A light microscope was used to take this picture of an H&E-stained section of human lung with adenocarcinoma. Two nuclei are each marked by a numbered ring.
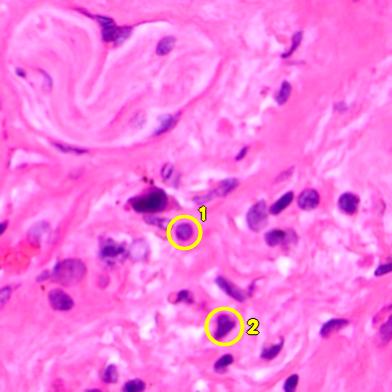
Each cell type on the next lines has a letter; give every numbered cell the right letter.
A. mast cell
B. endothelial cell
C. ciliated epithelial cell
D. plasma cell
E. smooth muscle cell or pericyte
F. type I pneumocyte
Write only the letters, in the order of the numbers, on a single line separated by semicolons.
A; D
